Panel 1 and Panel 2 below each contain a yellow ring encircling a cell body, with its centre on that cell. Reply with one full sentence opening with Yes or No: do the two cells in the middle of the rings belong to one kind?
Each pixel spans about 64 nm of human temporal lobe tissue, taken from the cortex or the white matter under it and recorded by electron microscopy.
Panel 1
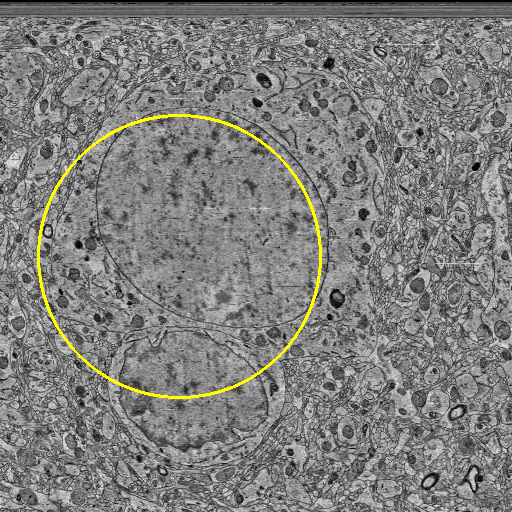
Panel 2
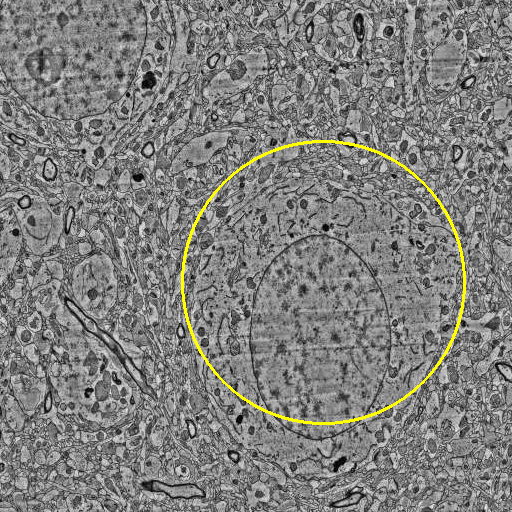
Yes, the cells at the middle of the Panel 1 ring and the Panel 2 ring are of one kind.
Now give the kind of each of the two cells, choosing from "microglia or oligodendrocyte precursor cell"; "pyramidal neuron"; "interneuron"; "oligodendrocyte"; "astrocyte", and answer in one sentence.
The first and the second cell are each a pyramidal neuron.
